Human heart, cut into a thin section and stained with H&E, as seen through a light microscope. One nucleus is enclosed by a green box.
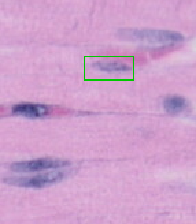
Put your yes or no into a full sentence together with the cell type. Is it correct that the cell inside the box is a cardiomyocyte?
No, the cell inside the box is put down as an endothelial cell, not as a cardiomyocyte.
